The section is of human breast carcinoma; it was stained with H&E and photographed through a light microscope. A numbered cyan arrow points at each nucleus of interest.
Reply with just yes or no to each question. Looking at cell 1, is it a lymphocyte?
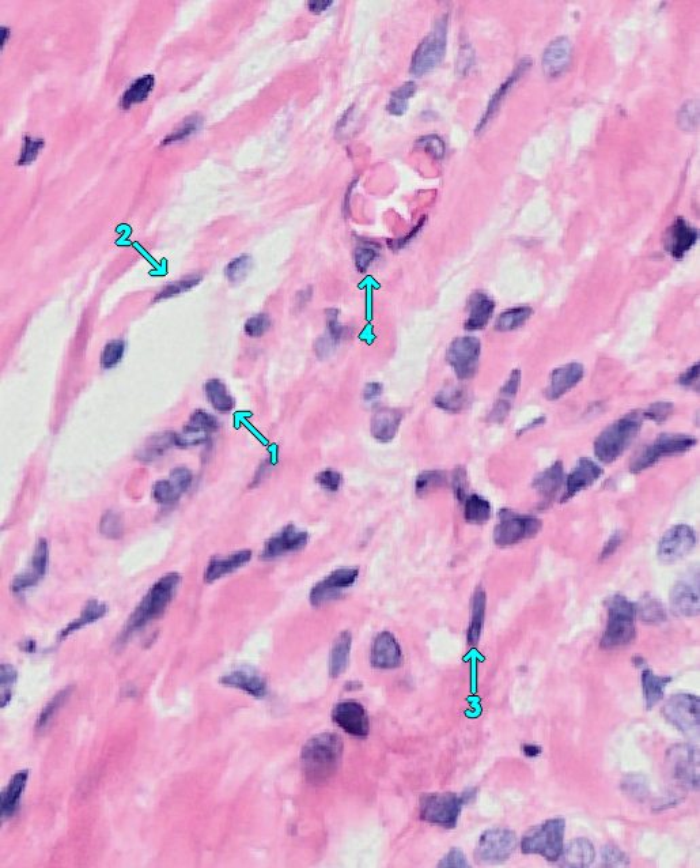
yes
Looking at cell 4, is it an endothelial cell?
yes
